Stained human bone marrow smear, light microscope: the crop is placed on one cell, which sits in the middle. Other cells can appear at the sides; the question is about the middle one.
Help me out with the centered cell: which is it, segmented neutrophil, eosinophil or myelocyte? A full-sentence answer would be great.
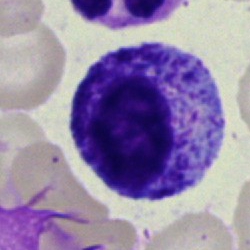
The cell shown in the center of this light-microscope crop is a myelocyte.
